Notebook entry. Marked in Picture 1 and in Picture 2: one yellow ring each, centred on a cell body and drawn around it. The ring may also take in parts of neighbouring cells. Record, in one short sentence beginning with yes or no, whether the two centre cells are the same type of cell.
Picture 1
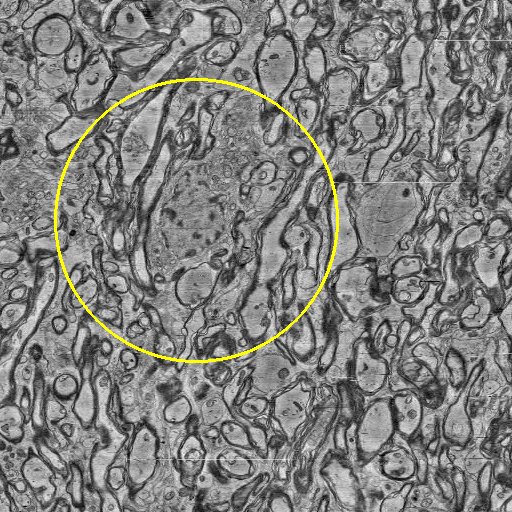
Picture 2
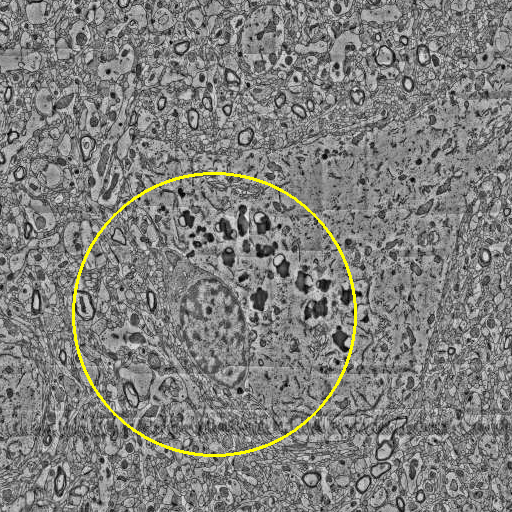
No, they are two types of cell.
